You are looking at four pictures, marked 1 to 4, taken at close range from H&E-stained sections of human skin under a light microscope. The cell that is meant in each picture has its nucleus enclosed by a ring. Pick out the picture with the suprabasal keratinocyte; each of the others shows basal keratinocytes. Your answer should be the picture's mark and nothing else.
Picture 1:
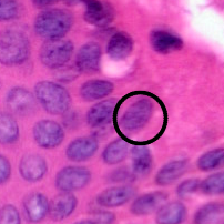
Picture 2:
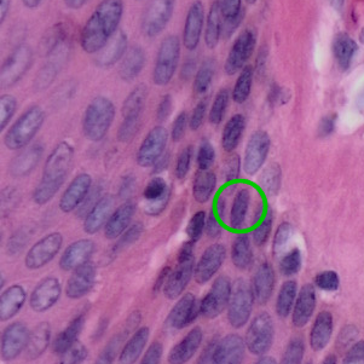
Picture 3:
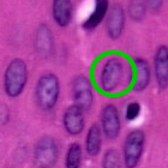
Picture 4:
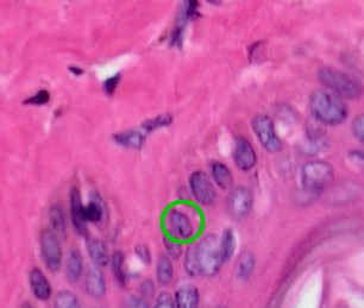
3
